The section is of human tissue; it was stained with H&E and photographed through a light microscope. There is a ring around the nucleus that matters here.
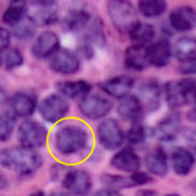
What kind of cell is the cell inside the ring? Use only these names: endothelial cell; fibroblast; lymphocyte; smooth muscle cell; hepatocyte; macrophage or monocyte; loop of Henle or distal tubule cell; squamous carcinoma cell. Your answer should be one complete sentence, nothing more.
What the cell inside the ring represents is a lymphocyte.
